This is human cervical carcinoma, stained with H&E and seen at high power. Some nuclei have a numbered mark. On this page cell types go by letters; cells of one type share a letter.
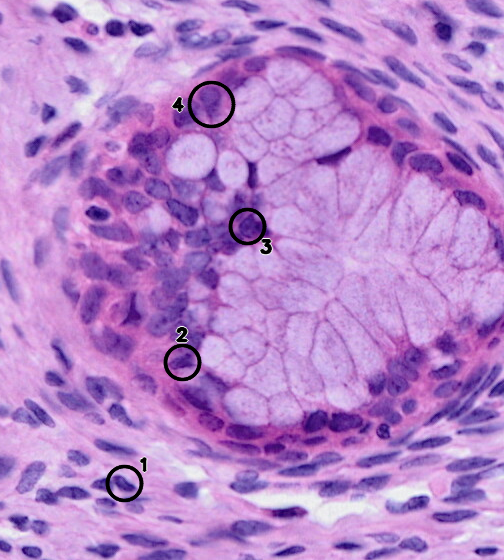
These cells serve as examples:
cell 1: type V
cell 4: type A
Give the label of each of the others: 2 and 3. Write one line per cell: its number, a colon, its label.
2: type A
3: type A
